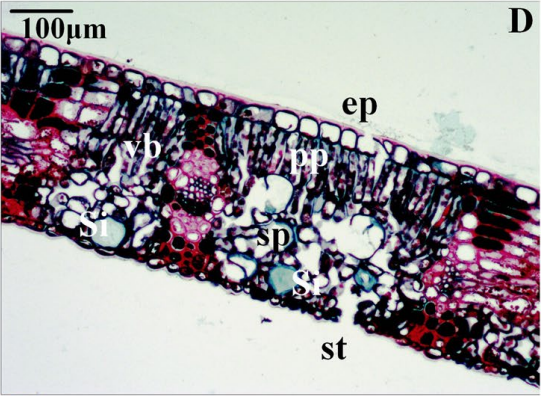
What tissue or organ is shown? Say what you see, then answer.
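Elongated columnar cells packed side by side lie just under the upper epidermis. Loosely arranged irregular cells with large air spaces lie toward the lower surface. So: dorsiventral mesophyll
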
